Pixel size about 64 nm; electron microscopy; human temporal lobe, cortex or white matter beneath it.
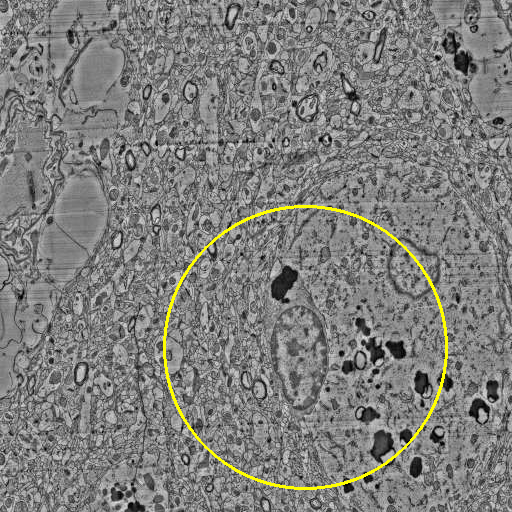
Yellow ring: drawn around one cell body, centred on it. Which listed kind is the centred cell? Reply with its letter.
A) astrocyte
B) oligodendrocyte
B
